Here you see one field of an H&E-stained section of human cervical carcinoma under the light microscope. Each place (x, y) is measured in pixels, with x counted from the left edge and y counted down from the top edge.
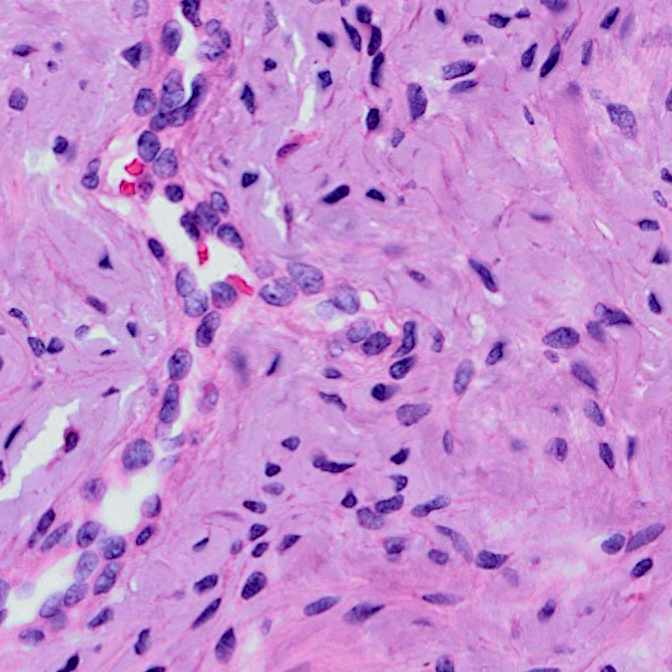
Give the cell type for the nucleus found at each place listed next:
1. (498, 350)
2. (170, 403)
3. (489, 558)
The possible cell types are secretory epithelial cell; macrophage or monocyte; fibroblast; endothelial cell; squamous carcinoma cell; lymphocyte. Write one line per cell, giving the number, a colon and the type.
1: fibroblast
2: endothelial cell
3: fibroblast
